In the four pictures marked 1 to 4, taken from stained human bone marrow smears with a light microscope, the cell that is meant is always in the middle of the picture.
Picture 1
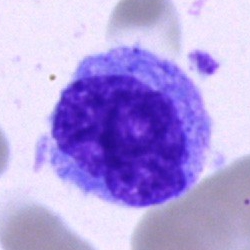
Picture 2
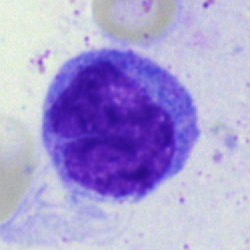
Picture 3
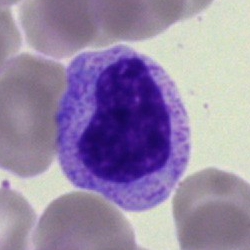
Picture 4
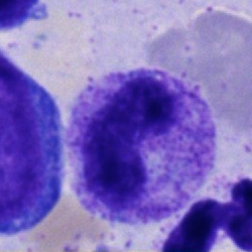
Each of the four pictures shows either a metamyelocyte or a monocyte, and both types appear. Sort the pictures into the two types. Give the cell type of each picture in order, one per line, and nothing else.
monocyte
monocyte
metamyelocyte
metamyelocyte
